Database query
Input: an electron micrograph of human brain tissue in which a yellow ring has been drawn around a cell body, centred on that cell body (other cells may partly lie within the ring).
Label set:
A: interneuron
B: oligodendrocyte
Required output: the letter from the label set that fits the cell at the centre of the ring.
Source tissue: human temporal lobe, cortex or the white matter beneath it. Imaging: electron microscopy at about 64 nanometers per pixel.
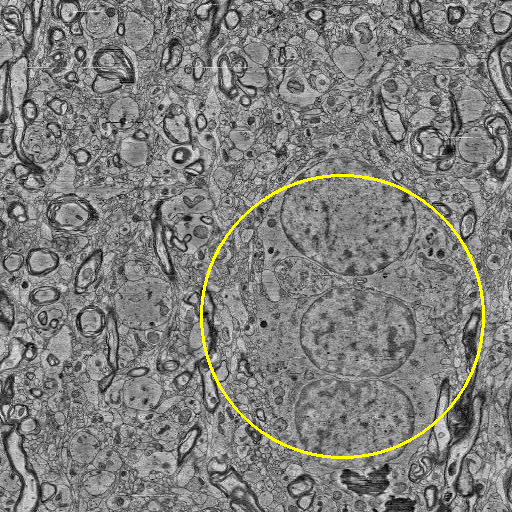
B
